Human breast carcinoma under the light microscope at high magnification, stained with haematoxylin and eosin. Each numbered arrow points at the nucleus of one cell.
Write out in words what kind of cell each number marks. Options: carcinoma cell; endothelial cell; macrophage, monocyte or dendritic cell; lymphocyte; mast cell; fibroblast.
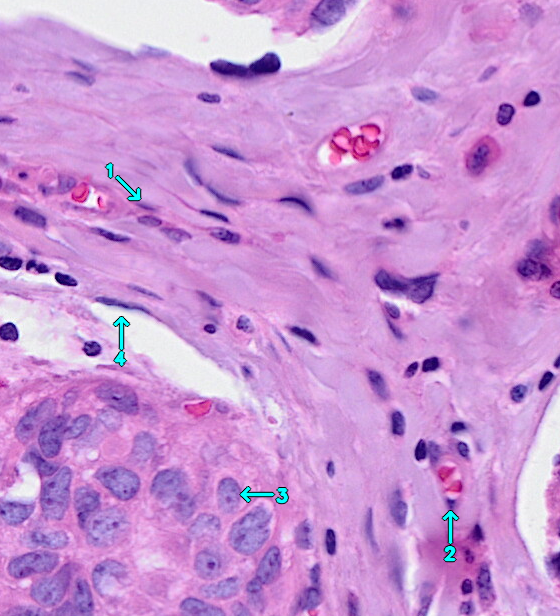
Cell 1 is a fibroblast, cell 2 is an endothelial cell, cell 3 is a carcinoma cell and cell 4 is a fibroblast.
